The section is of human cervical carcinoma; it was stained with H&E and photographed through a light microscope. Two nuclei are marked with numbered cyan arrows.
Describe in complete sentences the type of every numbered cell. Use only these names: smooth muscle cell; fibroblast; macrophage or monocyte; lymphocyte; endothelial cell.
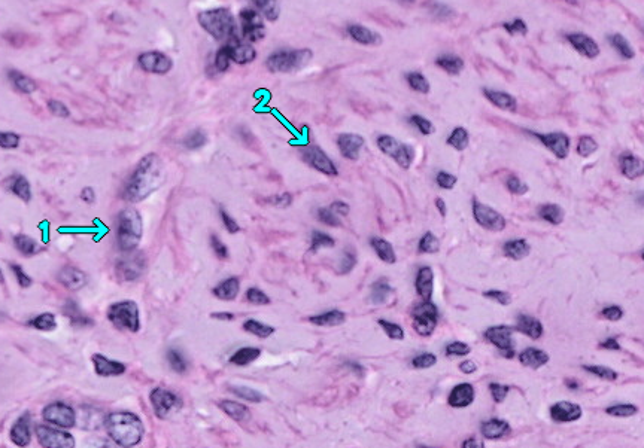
Cell 1 is an endothelial cell and cell 2 is a smooth muscle cell.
